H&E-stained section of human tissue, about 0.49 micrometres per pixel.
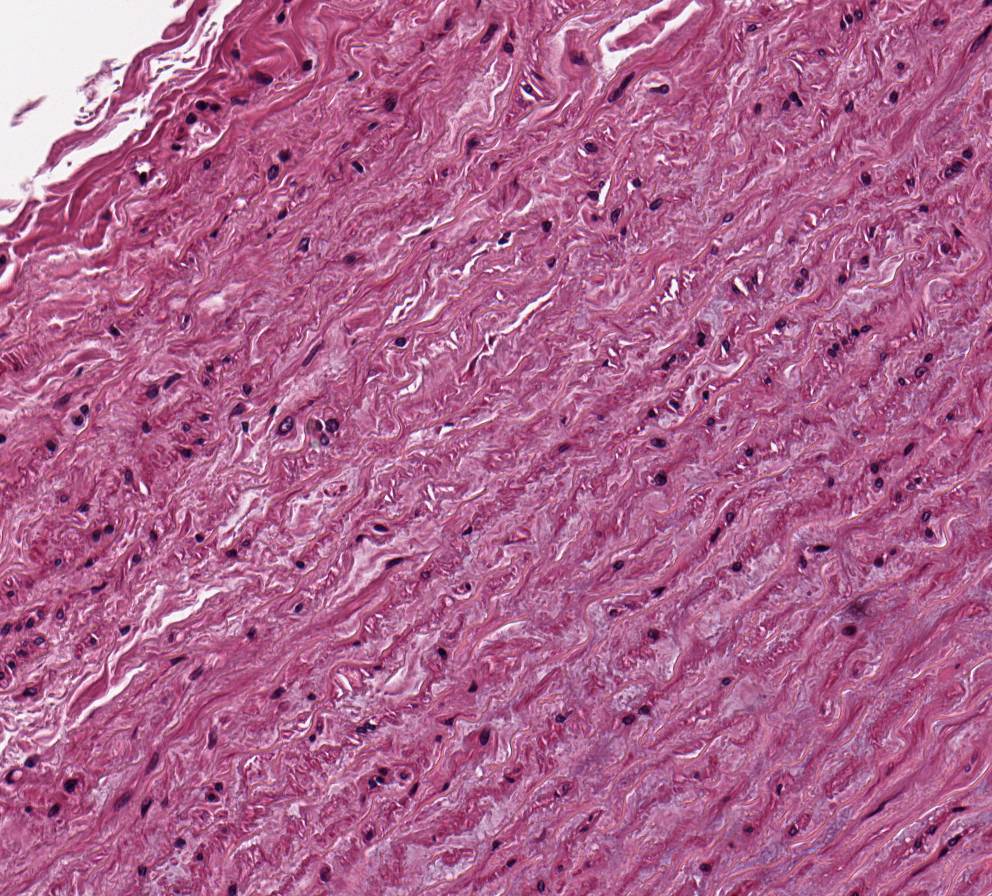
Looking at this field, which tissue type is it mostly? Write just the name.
tunica media of an artery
